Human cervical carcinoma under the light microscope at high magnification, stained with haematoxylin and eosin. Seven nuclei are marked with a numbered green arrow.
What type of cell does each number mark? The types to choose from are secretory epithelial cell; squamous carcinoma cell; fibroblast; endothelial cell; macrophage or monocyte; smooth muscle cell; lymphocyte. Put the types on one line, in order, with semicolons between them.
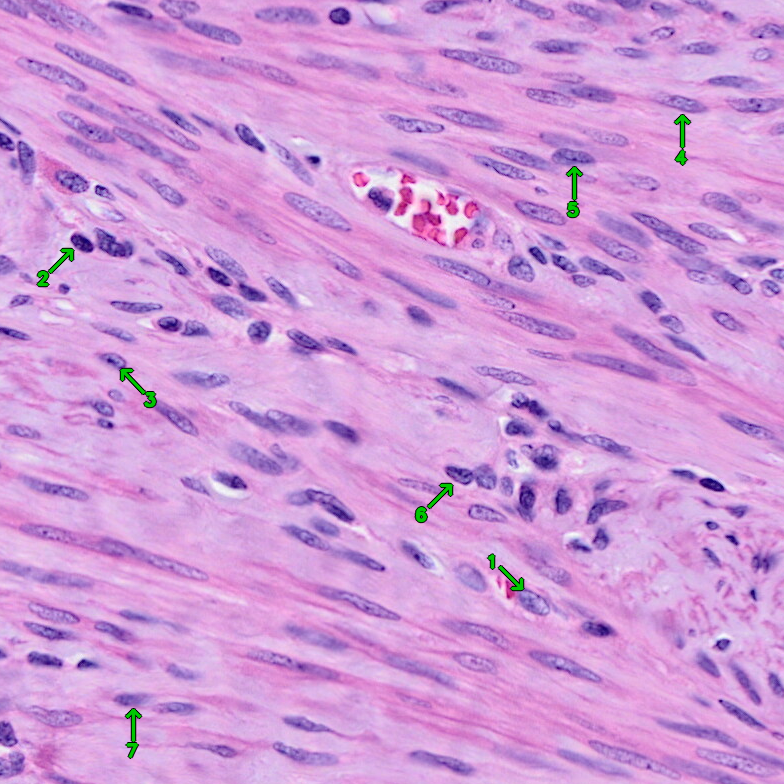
endothelial cell; lymphocyte; smooth muscle cell; smooth muscle cell; smooth muscle cell; lymphocyte; smooth muscle cell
